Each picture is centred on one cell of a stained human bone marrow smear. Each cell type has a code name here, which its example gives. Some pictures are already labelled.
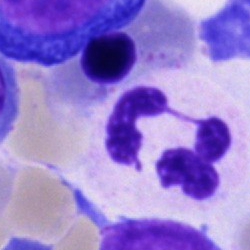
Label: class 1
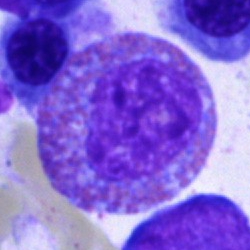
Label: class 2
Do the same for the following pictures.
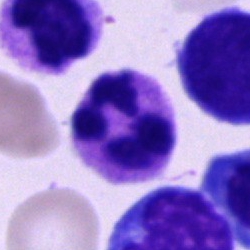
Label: class 1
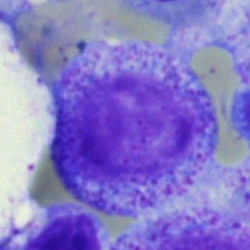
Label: class 2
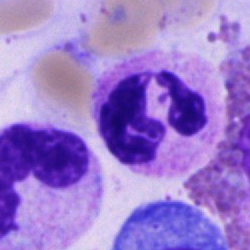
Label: class 1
